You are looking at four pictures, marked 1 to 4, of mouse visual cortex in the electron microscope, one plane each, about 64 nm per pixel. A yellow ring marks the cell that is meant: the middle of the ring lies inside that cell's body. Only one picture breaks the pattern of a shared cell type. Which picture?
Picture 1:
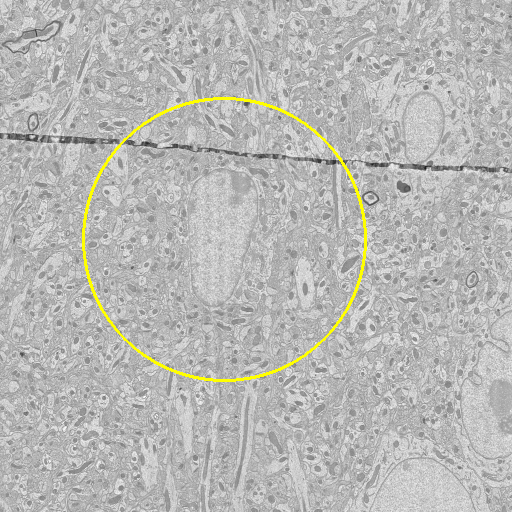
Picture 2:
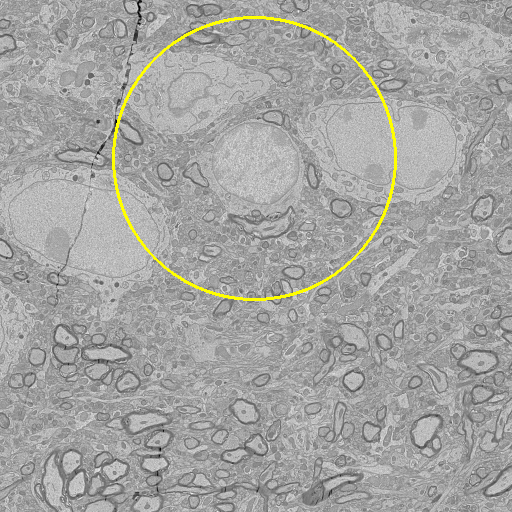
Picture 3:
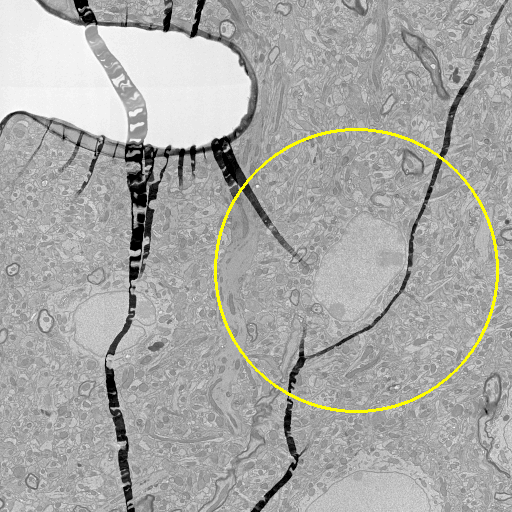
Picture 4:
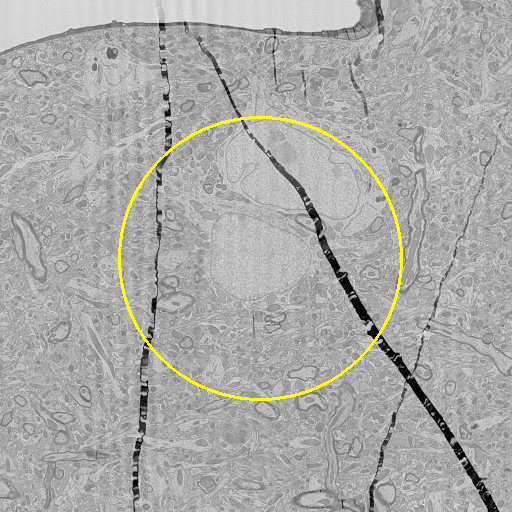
Unlike the rest, which show astrocytes, picture 2 shows an oligodendrocyte.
